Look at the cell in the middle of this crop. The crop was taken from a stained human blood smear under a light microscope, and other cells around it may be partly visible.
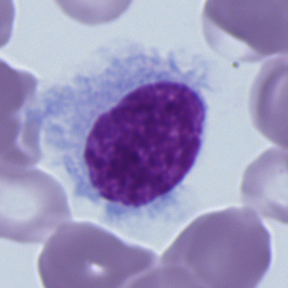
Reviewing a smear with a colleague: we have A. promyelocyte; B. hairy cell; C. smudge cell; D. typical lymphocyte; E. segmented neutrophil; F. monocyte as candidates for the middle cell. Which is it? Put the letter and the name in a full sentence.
Option B is the correct one; it names the central cell as a hairy cell.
